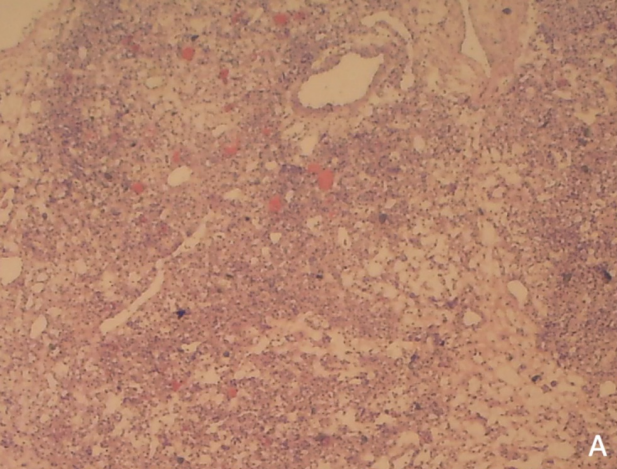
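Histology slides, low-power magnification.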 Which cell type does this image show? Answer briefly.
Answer: Small round cells.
